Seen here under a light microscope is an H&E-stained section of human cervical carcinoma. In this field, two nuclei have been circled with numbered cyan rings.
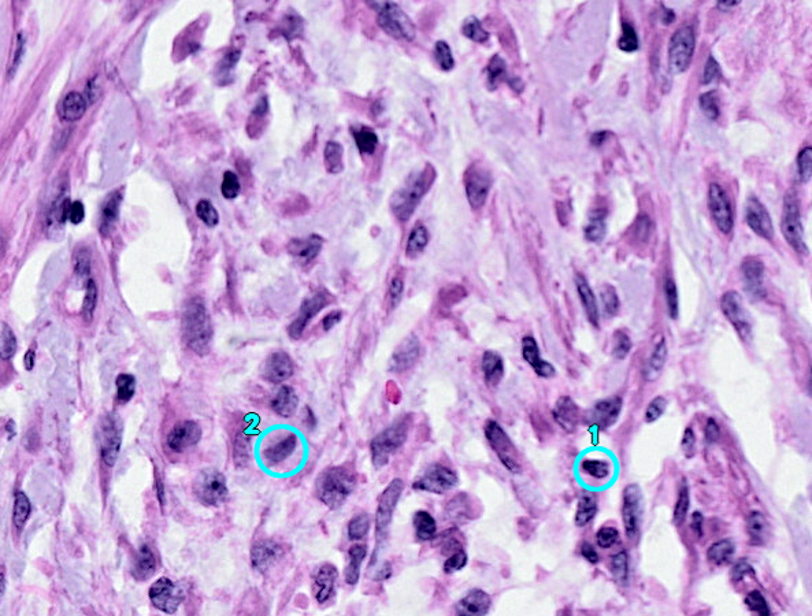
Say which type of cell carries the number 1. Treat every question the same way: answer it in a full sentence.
Cell 1 is classified as a lymphocyte.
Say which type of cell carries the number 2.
The nucleus with number 2 is that of a fibroblast.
